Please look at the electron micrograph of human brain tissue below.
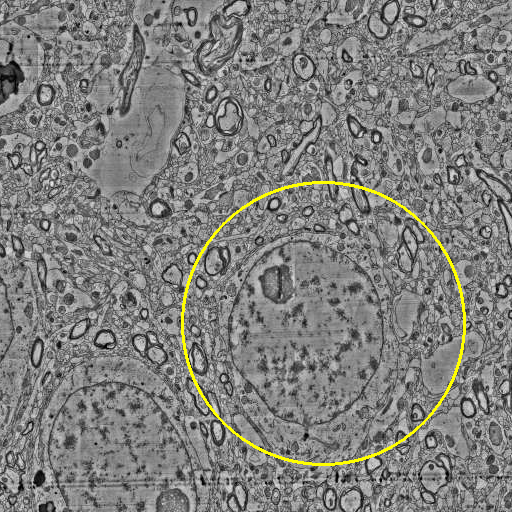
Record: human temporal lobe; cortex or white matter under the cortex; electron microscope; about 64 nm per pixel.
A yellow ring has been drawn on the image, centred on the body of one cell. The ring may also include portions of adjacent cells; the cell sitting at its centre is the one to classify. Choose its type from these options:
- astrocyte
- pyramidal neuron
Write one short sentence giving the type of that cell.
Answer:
The cell in the middle of the ring is a pyramidal neuron.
